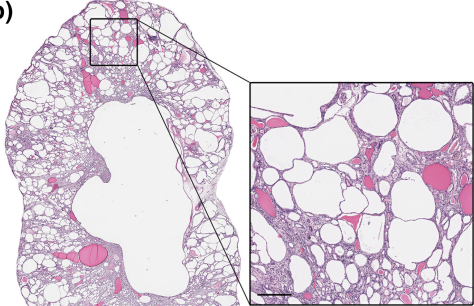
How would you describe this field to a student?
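Whole kidney section in H&E with a magnified inset of the cortex. The parenchyma is riddled with round to polygonal cysts of widely varying size, most optically empty, some filled with homogeneous bright pink proteinaceous fluid. A large irregular central space occupies the pelvic region. In the inset, cysts lie closely packed and are separated by thin septa of compressed tubules and interstitium with purple nuclei; little normal tubular parenchyma remains. Overall architecture is largely replaced by cystic spaces.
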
